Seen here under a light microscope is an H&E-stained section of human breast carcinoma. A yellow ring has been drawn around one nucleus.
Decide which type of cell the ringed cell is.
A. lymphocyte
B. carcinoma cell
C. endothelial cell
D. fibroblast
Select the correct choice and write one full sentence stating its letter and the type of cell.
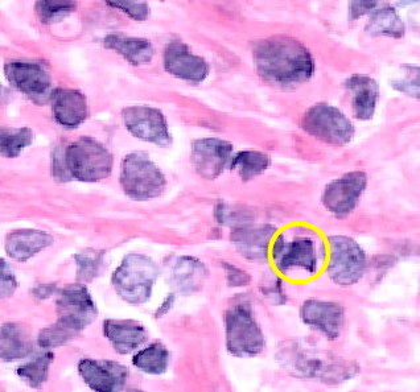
Option B names the ringed cell correctly as a carcinoma cell.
